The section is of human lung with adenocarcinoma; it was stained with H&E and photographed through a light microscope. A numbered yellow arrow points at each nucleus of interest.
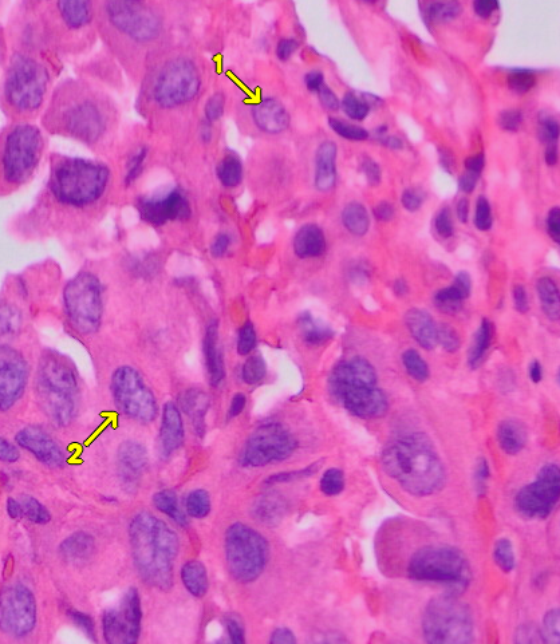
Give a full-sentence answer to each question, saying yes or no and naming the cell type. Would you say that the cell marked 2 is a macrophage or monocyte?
No, a macrophage or monocyte is not what cell 2 is; it is a carcinoma cell.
